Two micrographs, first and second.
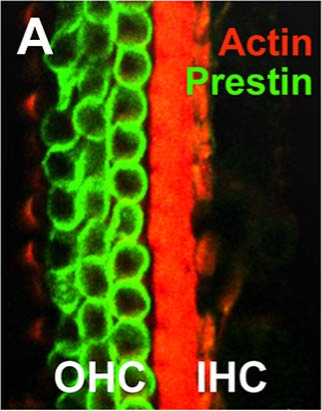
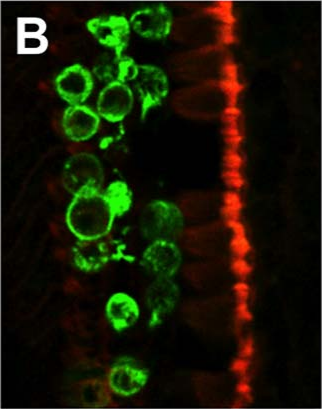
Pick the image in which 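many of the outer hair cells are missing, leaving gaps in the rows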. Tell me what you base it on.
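The second image. Second image: green-outlined cells are scattered with dark gaps between them. First image: green-outlined cells form tightly packed, continuous rows.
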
